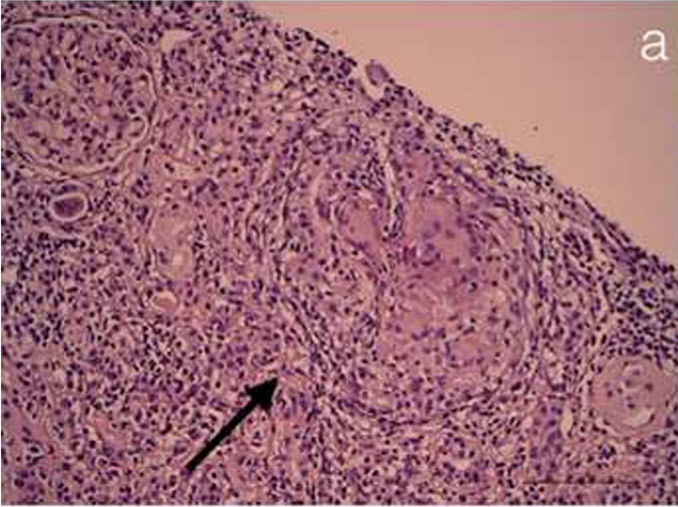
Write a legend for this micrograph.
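Kidney tissue with a dense interstitial infiltrate of small mononuclear cells with round dark nuclei crowding between tubules. The granulomas are rimmed by the small dark mononuclear cells.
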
